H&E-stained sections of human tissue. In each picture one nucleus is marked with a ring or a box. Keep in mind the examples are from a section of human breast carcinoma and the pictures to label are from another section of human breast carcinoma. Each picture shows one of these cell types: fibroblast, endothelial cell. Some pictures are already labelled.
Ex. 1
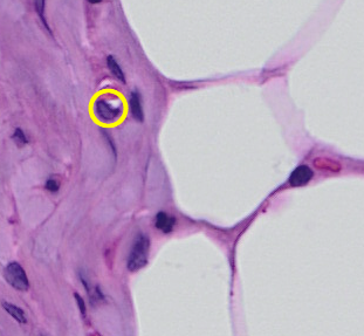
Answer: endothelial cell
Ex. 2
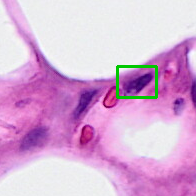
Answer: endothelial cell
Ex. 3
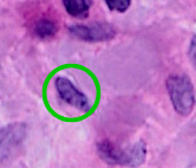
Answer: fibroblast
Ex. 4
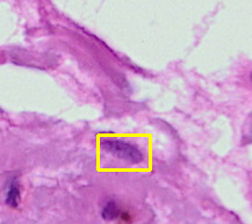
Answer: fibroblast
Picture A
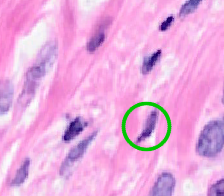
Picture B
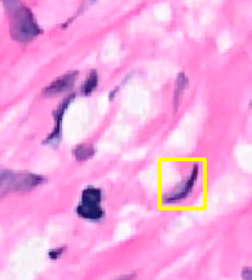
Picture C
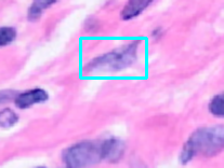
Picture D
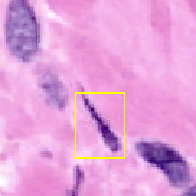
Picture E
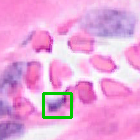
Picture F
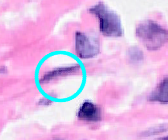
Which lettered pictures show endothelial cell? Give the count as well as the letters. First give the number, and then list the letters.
Count: 1 (E)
